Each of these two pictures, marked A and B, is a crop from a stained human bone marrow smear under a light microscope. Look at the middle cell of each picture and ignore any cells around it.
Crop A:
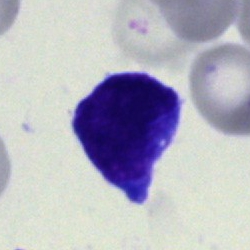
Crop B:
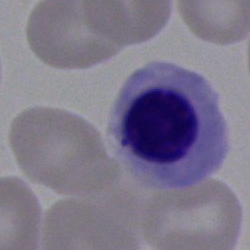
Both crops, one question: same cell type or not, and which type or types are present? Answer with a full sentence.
No, crop A carries a blast and crop B carries an erythroblast.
